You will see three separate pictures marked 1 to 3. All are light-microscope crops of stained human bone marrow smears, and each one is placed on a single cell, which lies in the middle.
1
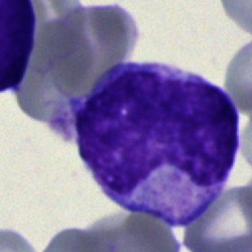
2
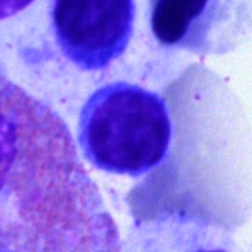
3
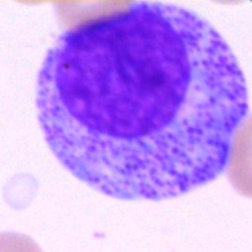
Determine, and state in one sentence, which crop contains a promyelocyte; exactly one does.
The crop in which a promyelocyte is shown is crop 3.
